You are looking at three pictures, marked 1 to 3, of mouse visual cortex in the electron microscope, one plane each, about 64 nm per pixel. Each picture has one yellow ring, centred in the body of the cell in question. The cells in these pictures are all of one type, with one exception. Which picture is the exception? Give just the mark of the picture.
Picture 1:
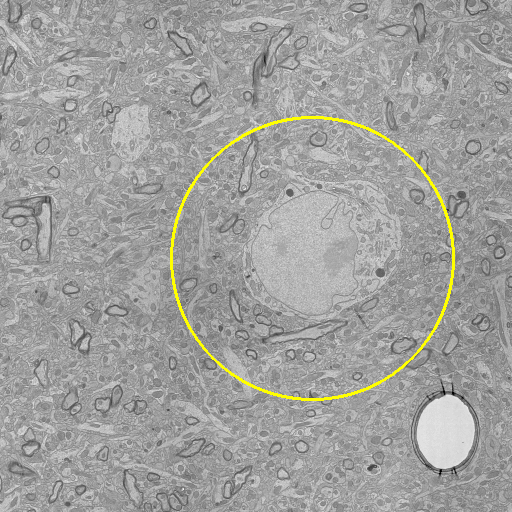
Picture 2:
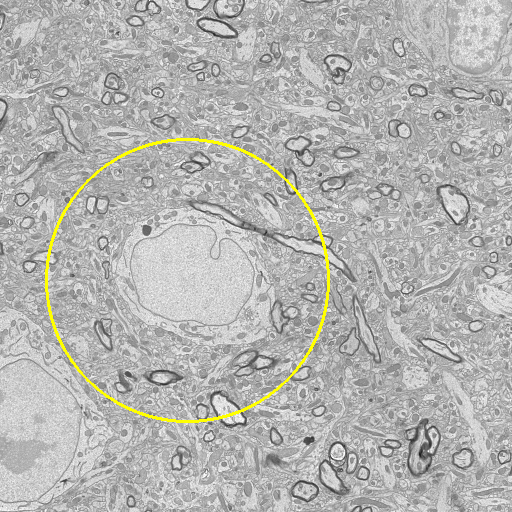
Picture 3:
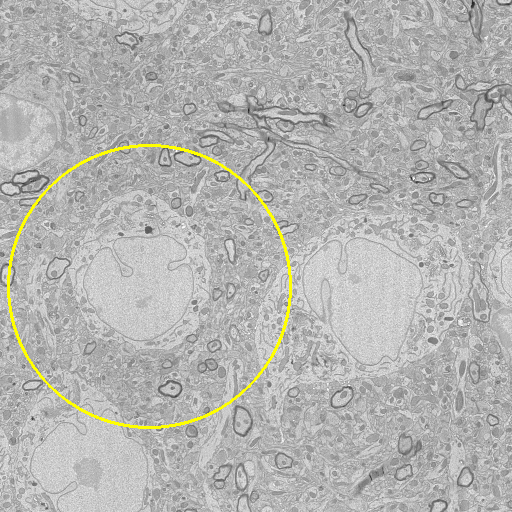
1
